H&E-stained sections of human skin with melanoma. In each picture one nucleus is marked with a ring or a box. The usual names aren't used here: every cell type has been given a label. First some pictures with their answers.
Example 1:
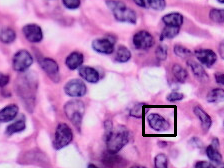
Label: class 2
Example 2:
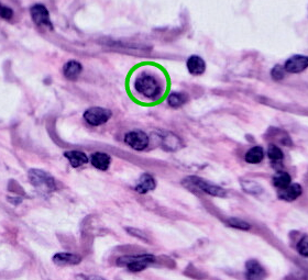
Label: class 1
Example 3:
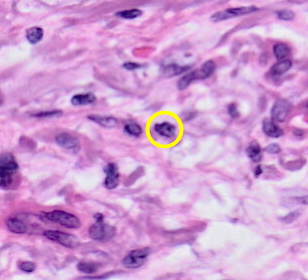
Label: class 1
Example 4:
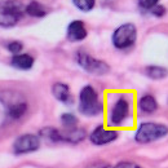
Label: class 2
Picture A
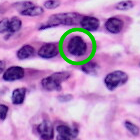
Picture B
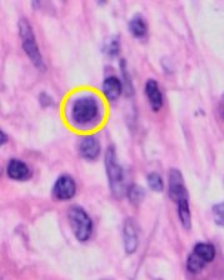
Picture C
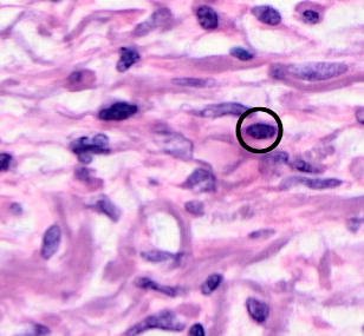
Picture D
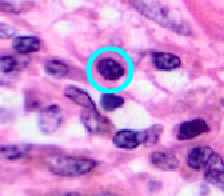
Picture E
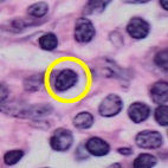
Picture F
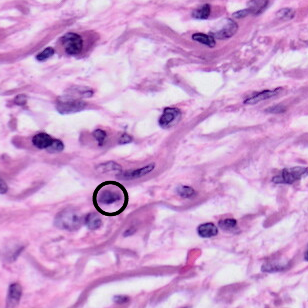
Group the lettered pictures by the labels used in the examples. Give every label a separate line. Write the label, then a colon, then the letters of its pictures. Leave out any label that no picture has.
class 2: E
class 1: A, B, C, D, F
